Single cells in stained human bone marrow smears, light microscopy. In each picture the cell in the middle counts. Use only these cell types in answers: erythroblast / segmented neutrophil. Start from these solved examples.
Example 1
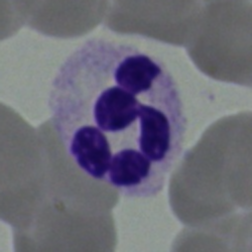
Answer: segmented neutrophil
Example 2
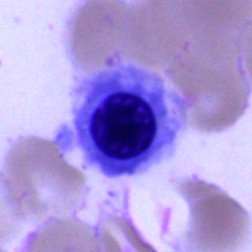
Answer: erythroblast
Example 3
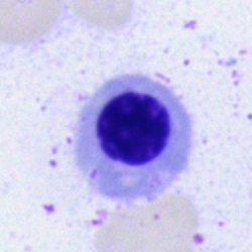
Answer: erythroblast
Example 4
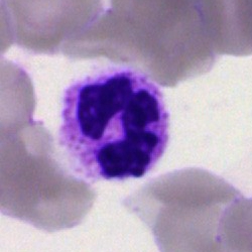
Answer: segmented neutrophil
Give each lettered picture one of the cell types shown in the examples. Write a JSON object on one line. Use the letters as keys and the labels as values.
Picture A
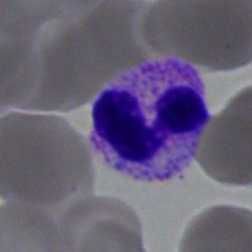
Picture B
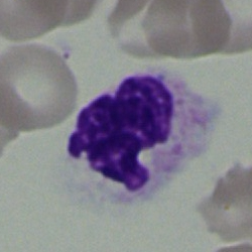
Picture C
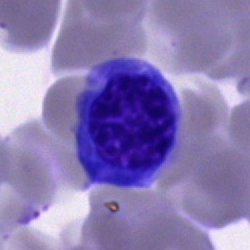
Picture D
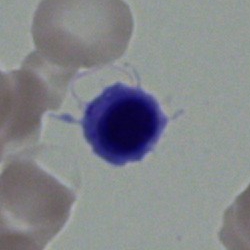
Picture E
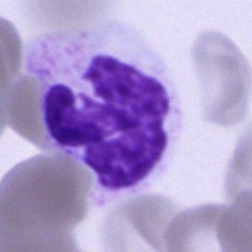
{"A": "segmented neutrophil", "B": "segmented neutrophil", "C": "erythroblast", "D": "erythroblast", "E": "segmented neutrophil"}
